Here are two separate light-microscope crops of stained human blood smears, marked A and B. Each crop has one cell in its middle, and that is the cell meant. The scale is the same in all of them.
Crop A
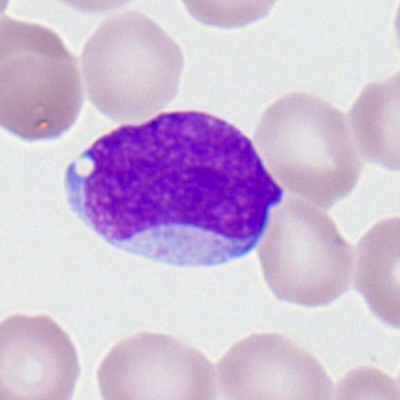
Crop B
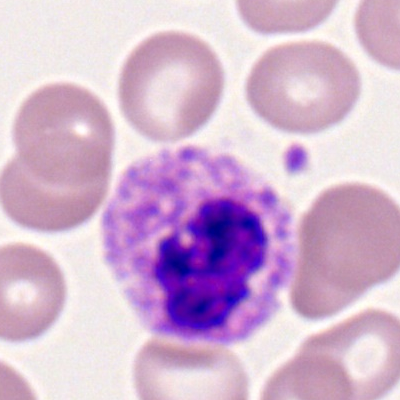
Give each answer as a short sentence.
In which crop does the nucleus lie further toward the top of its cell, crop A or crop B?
It is the nucleus in crop A that lies further toward the top of its cell.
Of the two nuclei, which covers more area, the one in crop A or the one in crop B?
It is the nucleus in crop A, about 2 times as large in area as the one in crop B.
